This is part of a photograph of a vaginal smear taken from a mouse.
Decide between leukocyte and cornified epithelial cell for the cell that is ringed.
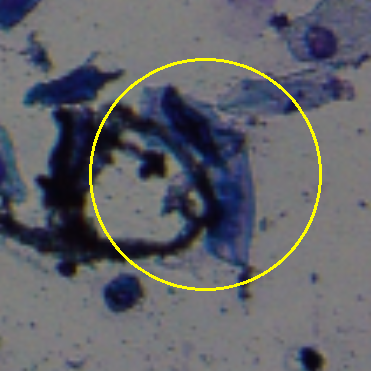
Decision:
I take the ringed cell for a cornified epithelial cell.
